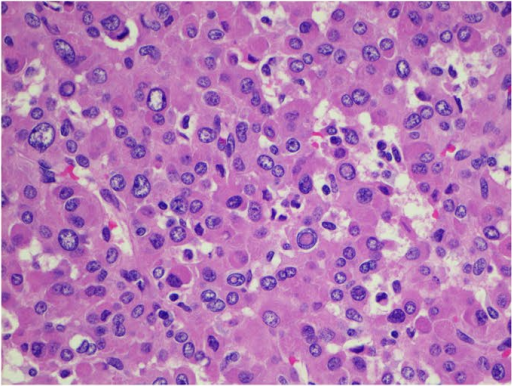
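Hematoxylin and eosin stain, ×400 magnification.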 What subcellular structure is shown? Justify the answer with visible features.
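Cells have a broad rim of pink cytoplasm around the nucleus. The cytoplasm looks finely granular. The answer: abundant eosinophilic granular cytoplasm.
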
